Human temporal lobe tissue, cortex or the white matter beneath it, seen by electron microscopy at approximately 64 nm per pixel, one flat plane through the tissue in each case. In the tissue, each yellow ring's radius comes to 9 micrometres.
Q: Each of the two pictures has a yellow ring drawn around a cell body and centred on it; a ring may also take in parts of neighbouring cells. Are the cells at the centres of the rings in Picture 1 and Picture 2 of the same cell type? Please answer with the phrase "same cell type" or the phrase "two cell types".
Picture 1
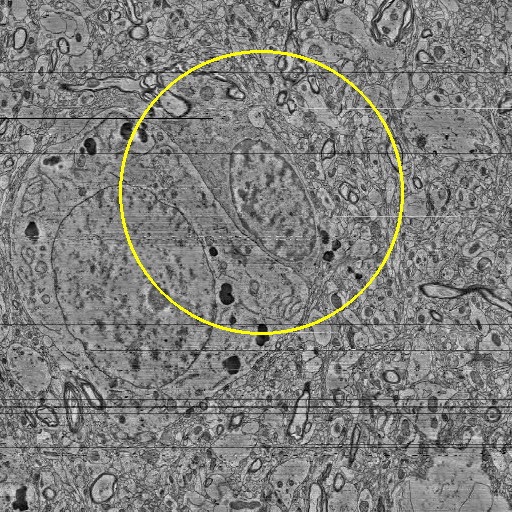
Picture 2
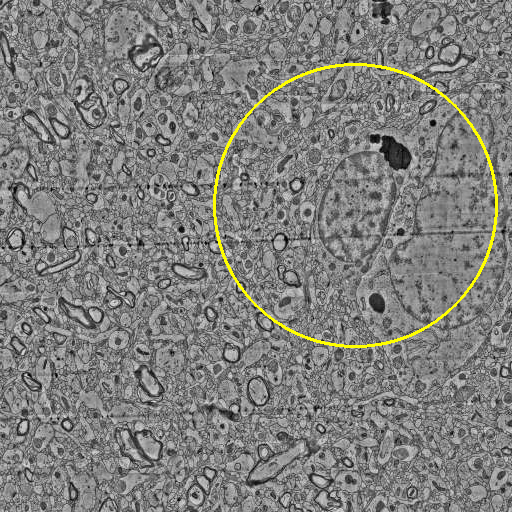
same cell type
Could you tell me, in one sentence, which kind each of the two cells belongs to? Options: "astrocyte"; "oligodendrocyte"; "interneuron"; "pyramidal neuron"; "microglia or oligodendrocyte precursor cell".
Each of the two cells is an oligodendrocyte.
